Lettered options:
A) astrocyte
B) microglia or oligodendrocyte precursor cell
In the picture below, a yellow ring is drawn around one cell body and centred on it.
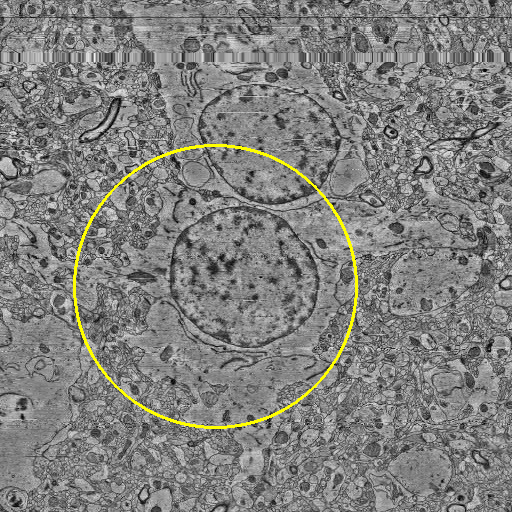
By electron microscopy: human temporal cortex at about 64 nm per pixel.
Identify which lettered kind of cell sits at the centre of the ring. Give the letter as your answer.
A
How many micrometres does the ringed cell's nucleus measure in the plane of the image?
Roughly 9 micrometres across for the nucleus, in this plane.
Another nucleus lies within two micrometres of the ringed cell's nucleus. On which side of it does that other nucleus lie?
That nucleus lies above it.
